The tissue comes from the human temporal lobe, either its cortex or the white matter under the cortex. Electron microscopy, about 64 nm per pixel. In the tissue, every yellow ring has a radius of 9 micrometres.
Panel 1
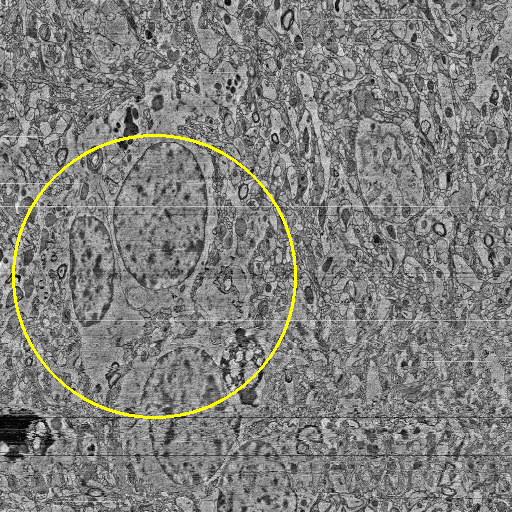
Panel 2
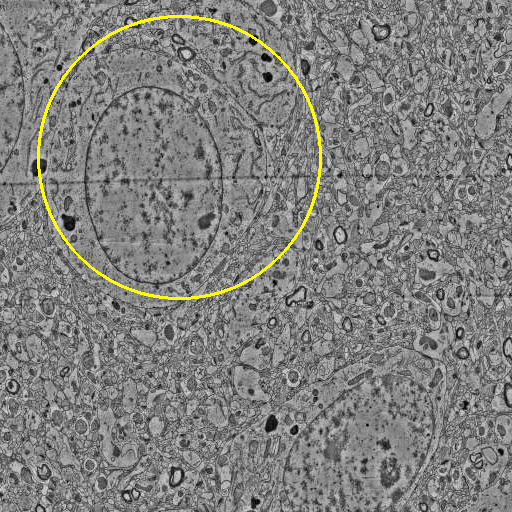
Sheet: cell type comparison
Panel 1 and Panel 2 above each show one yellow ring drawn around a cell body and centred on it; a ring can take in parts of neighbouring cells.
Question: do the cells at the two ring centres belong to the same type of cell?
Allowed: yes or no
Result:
no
